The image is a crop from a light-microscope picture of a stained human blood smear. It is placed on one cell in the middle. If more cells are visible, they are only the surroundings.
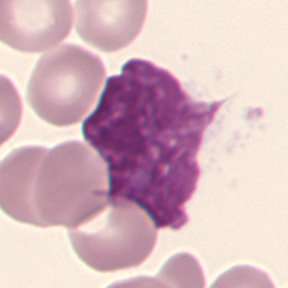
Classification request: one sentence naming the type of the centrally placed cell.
Classified as a smudge cell is the cell in the middle of this crop.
